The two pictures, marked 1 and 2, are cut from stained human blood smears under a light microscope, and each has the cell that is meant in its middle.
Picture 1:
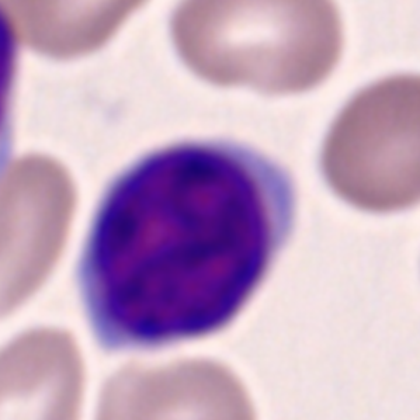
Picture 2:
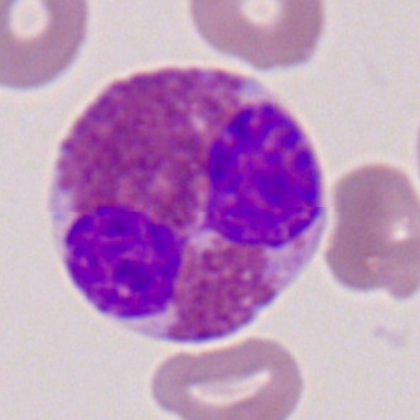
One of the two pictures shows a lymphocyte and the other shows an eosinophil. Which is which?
1: lymphocyte
2: eosinophil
